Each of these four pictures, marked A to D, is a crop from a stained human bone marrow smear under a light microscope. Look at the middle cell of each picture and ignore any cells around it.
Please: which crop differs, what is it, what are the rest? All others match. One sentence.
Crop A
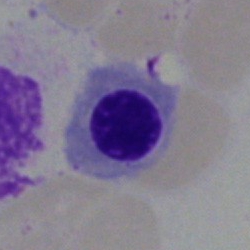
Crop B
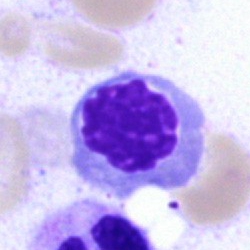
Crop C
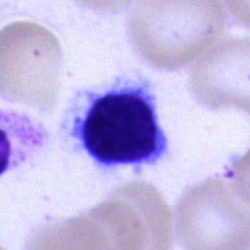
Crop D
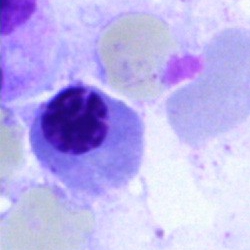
All the crops show normoblasts, barring crop C, which is a lymphocyte.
